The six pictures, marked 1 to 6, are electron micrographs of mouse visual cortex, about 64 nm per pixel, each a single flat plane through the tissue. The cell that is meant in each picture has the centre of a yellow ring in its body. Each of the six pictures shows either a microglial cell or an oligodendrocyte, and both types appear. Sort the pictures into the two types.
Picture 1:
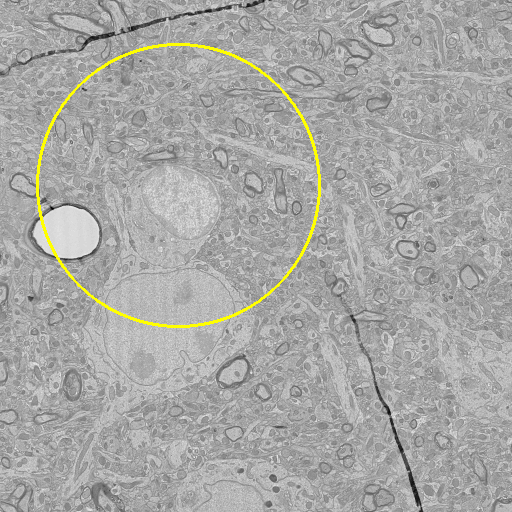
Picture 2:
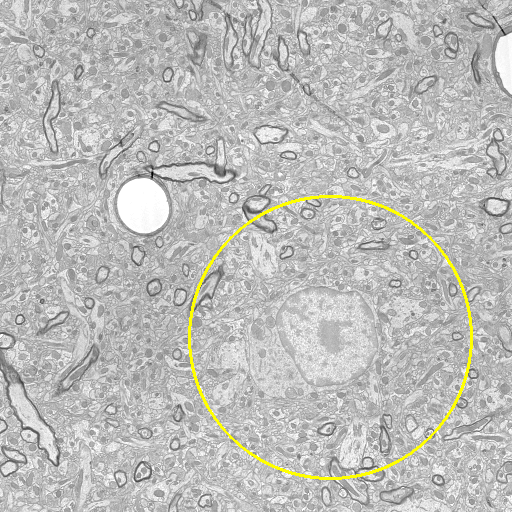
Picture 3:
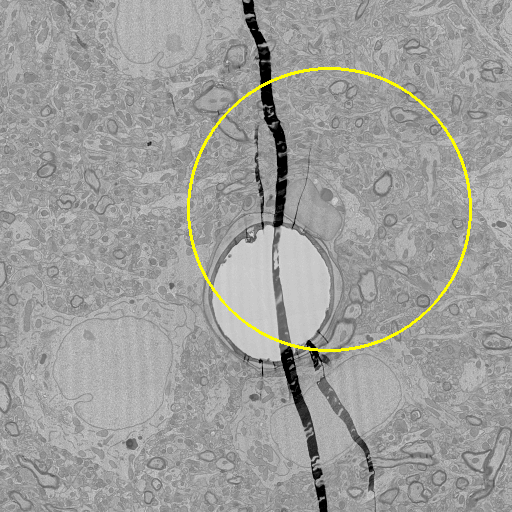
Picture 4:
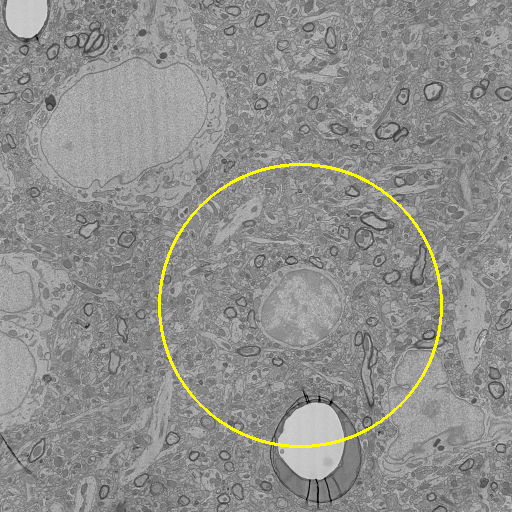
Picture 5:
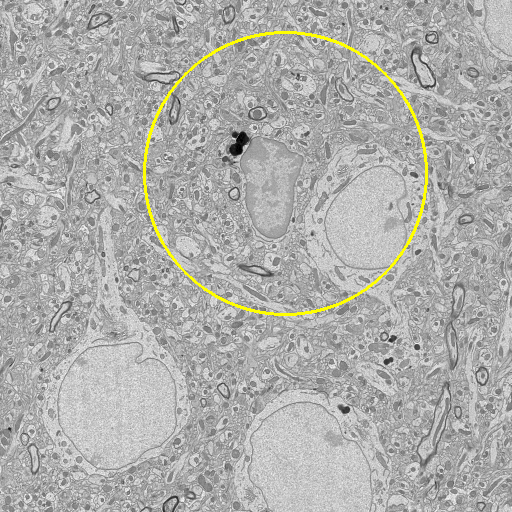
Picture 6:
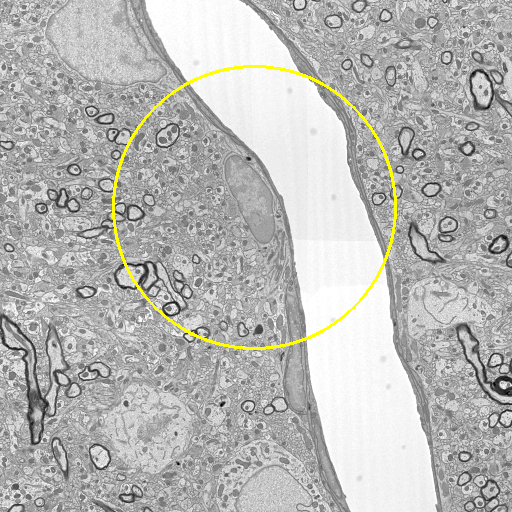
Pictures 3, 5 and 6 show microglial cells; pictures 1, 2 and 4 show oligodendrocytes.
